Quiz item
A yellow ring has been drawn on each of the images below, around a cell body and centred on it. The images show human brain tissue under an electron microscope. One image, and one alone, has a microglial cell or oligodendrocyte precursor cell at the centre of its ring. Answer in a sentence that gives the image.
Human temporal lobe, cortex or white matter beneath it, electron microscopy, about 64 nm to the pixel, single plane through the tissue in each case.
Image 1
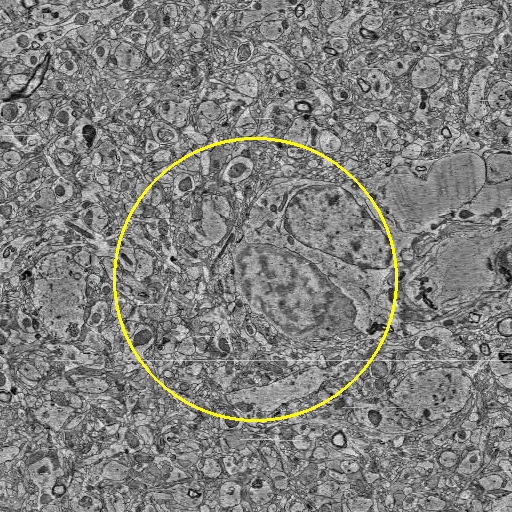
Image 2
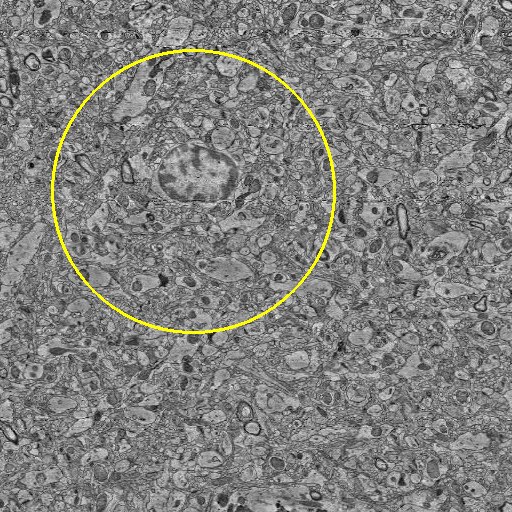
Image 2 shows it at the centre of the ring.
